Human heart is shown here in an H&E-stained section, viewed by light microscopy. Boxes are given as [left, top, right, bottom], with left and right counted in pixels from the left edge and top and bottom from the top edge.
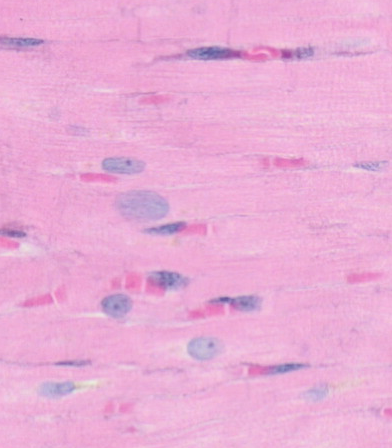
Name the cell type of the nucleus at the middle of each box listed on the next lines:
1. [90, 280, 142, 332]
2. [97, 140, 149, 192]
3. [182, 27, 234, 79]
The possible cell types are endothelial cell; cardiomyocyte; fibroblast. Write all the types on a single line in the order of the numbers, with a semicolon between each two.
cardiomyocyte; cardiomyocyte; endothelial cell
